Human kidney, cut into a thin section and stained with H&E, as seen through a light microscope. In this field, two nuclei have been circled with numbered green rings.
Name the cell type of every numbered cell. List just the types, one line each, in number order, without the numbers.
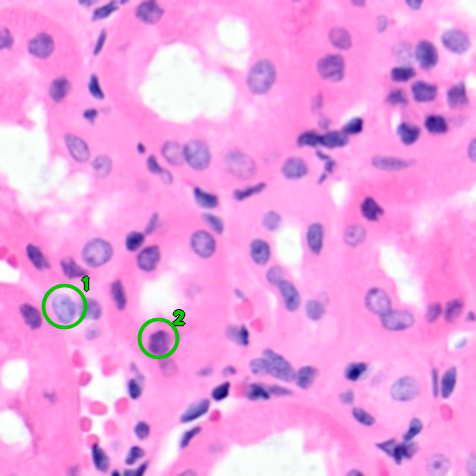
collecting duct cell
proximal tubule cell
